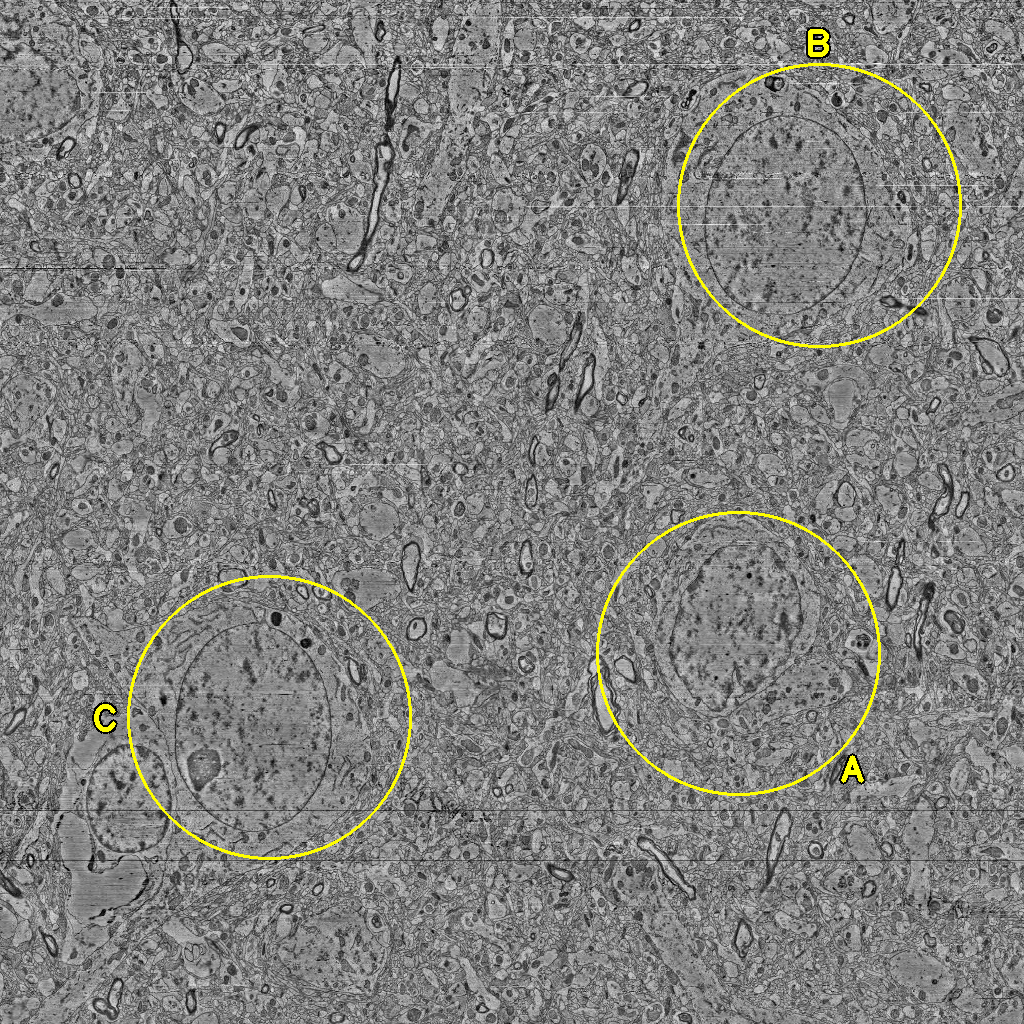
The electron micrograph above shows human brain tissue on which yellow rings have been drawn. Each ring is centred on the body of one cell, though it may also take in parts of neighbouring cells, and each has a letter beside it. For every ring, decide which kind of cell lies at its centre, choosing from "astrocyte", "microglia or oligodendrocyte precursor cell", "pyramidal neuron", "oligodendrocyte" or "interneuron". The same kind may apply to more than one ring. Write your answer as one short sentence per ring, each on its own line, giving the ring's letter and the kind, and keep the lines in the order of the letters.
Ring A is centred on an interneuron.
Ring B is centred on a pyramidal neuron.
Ring C is centred on a pyramidal neuron.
